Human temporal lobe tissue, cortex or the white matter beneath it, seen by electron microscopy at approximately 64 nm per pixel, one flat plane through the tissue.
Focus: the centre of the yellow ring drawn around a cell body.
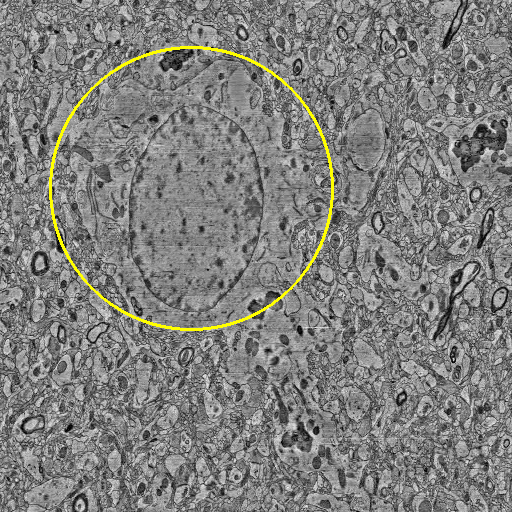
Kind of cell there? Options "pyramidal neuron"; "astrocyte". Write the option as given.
astrocyte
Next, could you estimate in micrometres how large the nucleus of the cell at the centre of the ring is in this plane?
The ringed cell's nucleus is roughly 14 by 9 micrometres and clearly longer than it is wide in this plane.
